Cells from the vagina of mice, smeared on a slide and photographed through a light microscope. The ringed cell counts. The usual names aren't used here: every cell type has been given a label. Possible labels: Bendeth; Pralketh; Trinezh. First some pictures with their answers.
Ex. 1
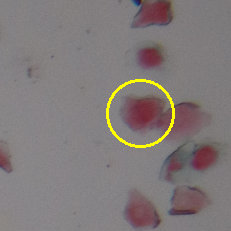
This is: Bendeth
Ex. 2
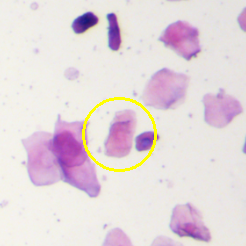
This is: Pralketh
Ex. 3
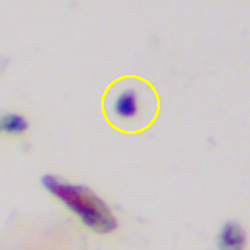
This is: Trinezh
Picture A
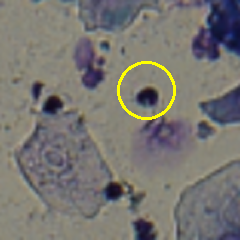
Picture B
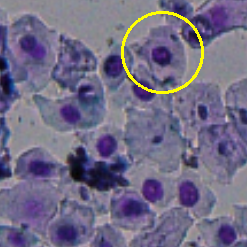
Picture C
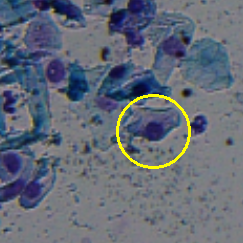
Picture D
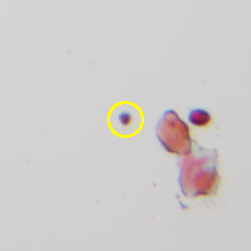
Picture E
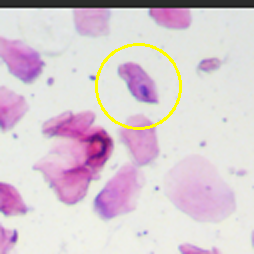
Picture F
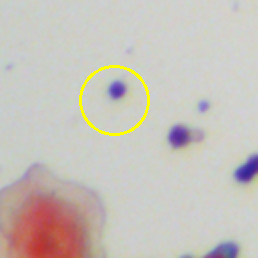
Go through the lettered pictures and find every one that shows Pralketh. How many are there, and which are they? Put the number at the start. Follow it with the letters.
0, none of them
